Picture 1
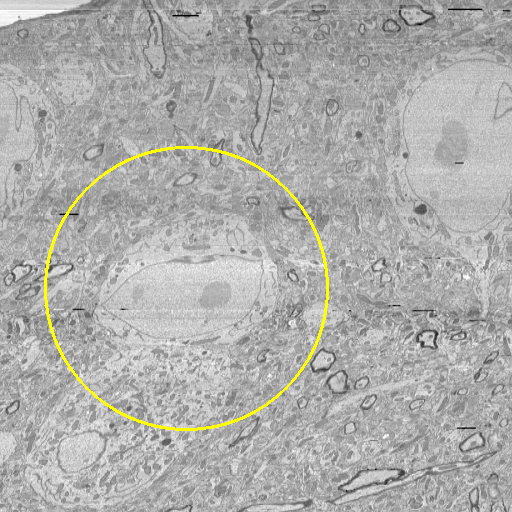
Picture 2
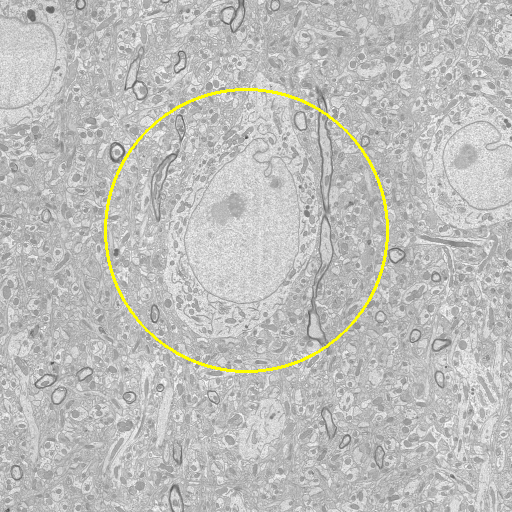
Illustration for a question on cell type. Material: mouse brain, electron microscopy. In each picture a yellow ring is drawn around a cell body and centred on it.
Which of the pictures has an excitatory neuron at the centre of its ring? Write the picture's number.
1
